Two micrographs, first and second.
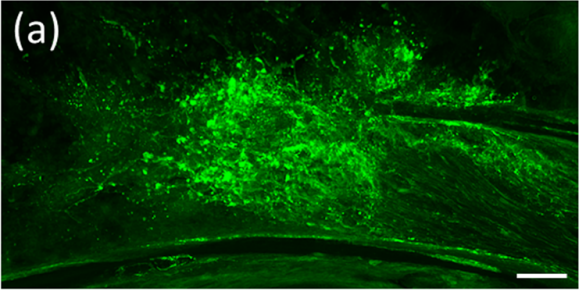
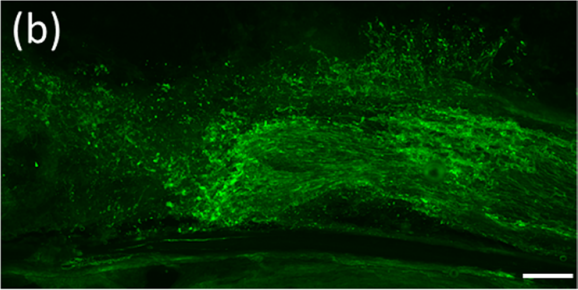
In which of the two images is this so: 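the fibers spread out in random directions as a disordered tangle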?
The first image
